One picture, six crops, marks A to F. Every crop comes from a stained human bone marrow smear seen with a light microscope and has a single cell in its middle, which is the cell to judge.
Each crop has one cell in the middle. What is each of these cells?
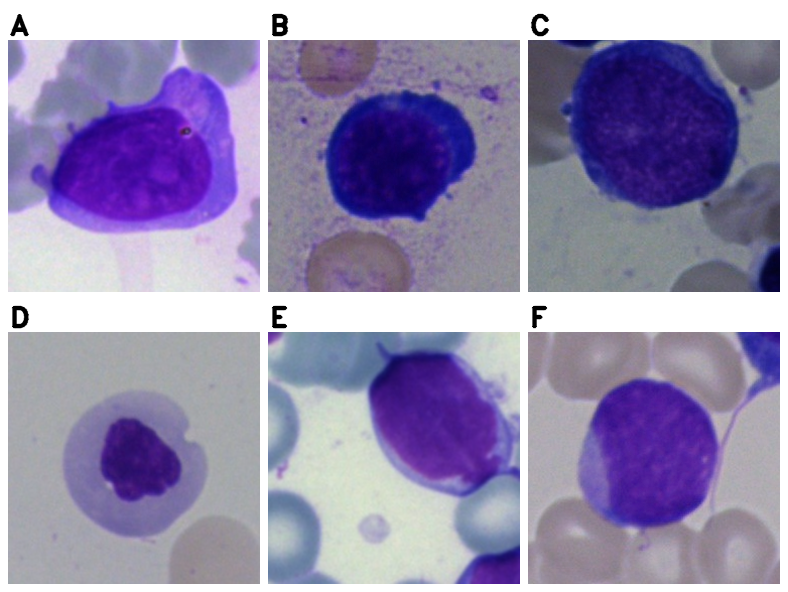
A: blast
B: erythroblast
C: blast
D: erythroblast
E: lymphocyte
F: blast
